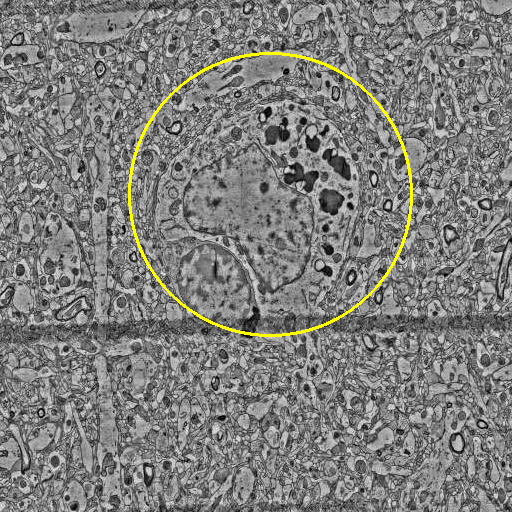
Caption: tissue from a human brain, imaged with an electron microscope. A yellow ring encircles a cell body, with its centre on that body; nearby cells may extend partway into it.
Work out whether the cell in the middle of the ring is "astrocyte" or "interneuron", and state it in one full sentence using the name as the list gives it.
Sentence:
In the picture, the cell that the yellow ring surrounds at its centre is an interneuron.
